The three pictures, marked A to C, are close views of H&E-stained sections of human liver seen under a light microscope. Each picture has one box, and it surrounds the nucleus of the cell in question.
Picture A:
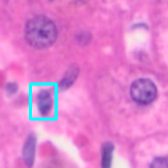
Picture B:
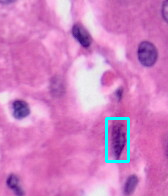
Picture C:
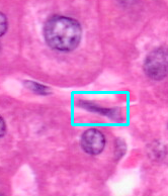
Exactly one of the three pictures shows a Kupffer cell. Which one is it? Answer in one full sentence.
Picture C is the one that shows the Kupffer cell.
